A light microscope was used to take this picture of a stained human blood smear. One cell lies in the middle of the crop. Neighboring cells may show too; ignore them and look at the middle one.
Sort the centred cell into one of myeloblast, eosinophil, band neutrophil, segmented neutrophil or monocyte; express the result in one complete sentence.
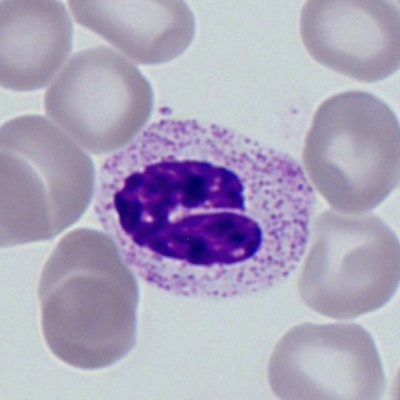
The cell centered in this field of view is a band neutrophil.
